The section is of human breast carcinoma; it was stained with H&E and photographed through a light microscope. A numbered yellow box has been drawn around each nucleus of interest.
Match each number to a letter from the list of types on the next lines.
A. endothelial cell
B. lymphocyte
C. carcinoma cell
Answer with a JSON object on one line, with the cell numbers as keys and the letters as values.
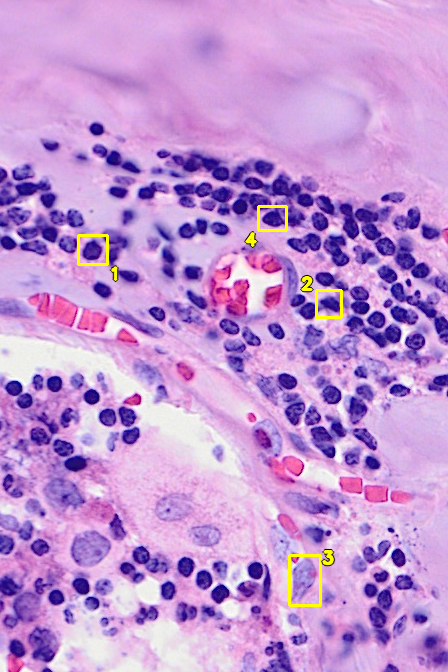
{"1": "B", "2": "B", "3": "A", "4": "B"}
